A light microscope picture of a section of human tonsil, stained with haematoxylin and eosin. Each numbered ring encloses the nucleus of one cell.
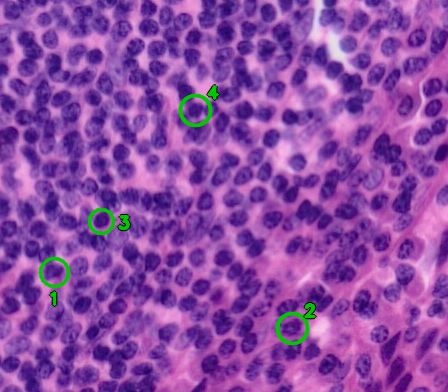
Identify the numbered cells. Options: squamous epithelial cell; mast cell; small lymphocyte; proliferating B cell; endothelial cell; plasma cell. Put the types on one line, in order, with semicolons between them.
small lymphocyte; plasma cell; small lymphocyte; small lymphocyte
